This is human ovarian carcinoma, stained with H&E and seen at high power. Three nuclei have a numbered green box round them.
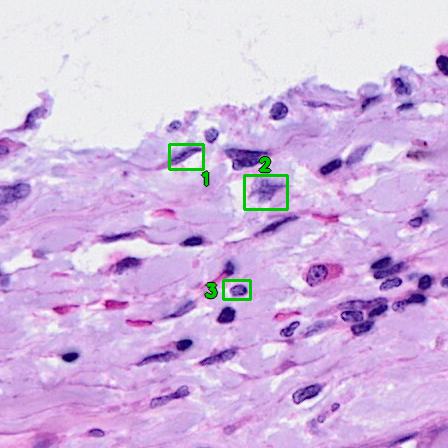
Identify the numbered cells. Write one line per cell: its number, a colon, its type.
1: fibroblast
2: fibroblast
3: lymphocyte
